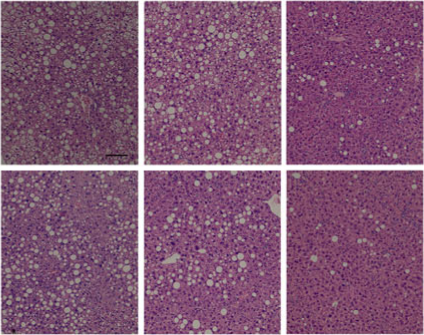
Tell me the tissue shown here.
liver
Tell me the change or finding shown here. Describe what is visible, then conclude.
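Macrosteatosis. Large round empty vacuoles scattered through the tissue in several of the tiles. The vacuoles vary in size and number between tiles.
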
